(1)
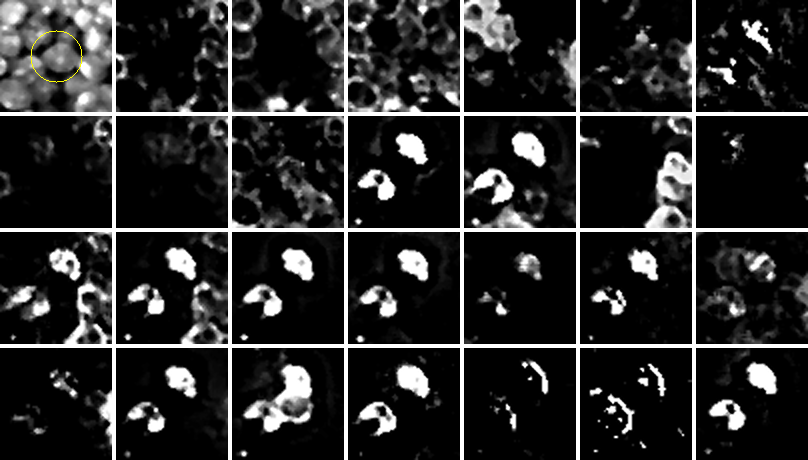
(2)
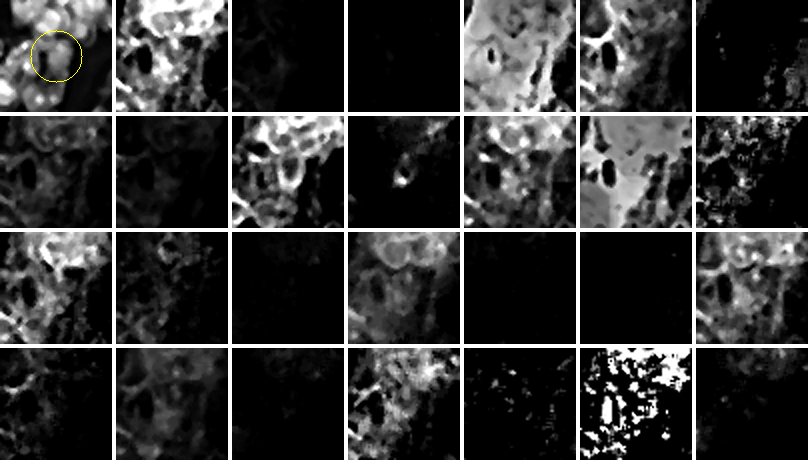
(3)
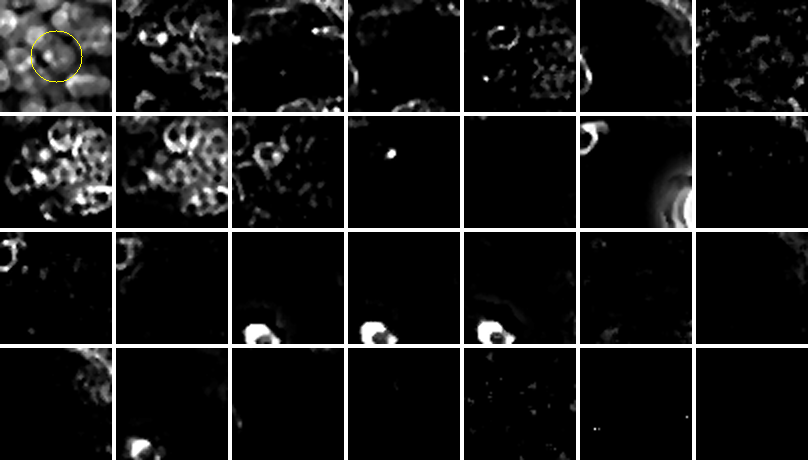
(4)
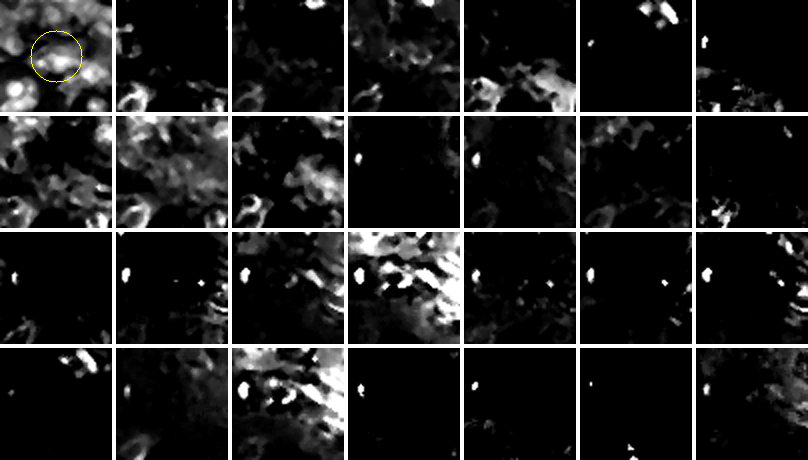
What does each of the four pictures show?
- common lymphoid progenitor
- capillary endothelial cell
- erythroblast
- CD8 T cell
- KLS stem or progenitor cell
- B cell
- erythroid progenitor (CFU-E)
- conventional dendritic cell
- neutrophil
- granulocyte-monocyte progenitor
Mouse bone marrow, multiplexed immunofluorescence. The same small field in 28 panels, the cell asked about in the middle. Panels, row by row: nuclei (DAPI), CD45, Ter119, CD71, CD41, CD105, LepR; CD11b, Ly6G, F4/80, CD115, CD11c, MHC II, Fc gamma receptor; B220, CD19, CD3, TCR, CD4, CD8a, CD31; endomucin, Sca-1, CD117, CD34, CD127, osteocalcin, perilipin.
Picture 1: KLS stem or progenitor cell
Picture 2: conventional dendritic cell
Picture 3: neutrophil
Picture 4: erythroid progenitor (CFU-E)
